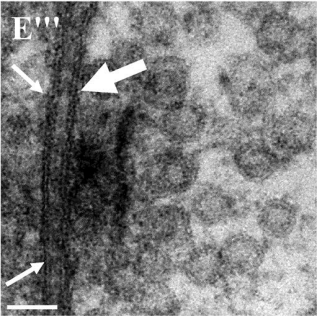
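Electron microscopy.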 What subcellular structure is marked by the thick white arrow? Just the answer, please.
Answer: Presynaptic membrane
